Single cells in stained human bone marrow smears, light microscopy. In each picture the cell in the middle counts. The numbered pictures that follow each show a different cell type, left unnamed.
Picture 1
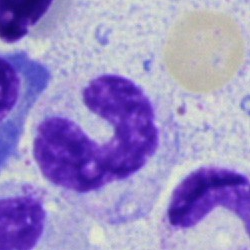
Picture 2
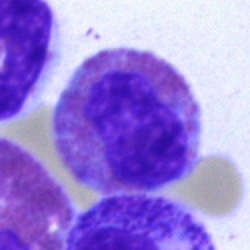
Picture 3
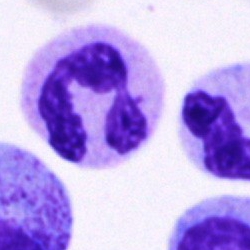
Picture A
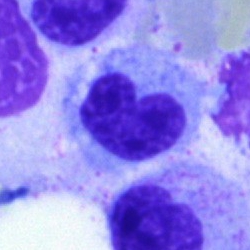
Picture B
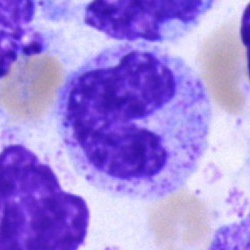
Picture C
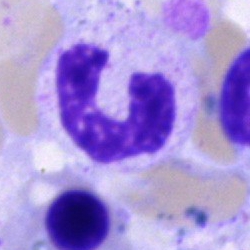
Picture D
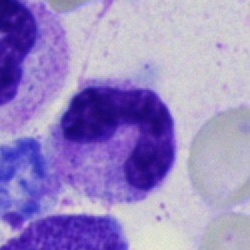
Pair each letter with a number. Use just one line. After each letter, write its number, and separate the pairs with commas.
A 1, B 1, C 1, D 1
